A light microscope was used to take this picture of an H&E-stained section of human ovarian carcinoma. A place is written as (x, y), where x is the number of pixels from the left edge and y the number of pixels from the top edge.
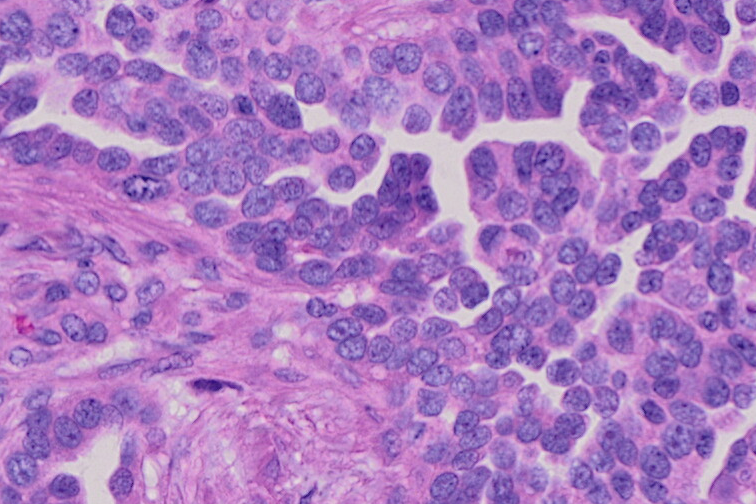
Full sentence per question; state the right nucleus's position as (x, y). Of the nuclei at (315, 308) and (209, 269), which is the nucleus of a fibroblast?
Of the pair, the nucleus located at (209, 269) belongs to a fibroblast.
